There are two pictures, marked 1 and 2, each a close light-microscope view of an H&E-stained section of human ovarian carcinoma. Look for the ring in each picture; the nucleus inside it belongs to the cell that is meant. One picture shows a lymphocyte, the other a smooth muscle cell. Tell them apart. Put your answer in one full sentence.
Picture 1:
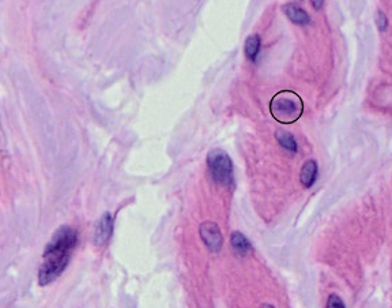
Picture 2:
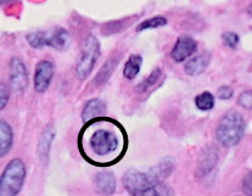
Picture 1 shows a smooth muscle cell and picture 2 shows a lymphocyte.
